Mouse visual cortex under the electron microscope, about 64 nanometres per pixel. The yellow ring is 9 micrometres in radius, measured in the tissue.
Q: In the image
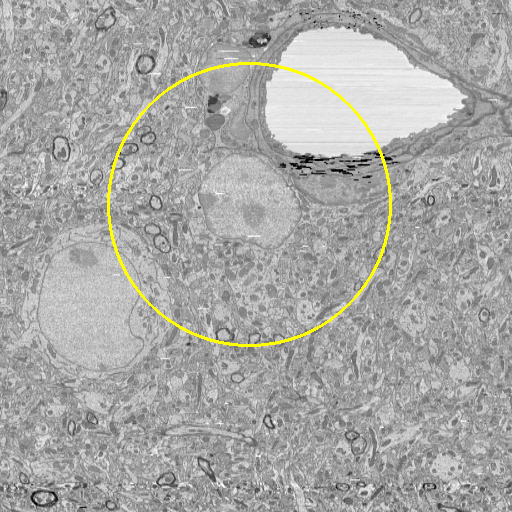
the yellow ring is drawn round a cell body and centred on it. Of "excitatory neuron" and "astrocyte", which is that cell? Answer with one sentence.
The cell centred in the ring is an astrocyte.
